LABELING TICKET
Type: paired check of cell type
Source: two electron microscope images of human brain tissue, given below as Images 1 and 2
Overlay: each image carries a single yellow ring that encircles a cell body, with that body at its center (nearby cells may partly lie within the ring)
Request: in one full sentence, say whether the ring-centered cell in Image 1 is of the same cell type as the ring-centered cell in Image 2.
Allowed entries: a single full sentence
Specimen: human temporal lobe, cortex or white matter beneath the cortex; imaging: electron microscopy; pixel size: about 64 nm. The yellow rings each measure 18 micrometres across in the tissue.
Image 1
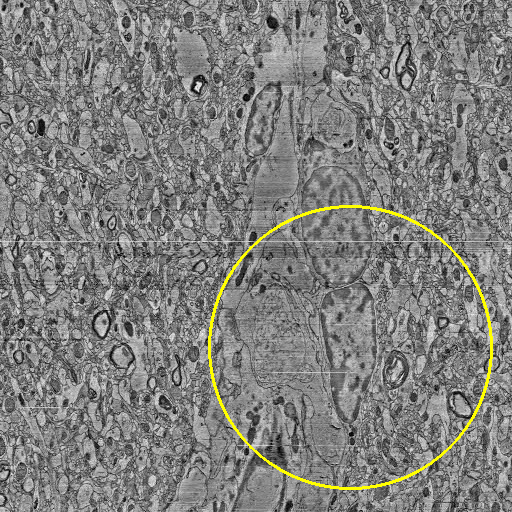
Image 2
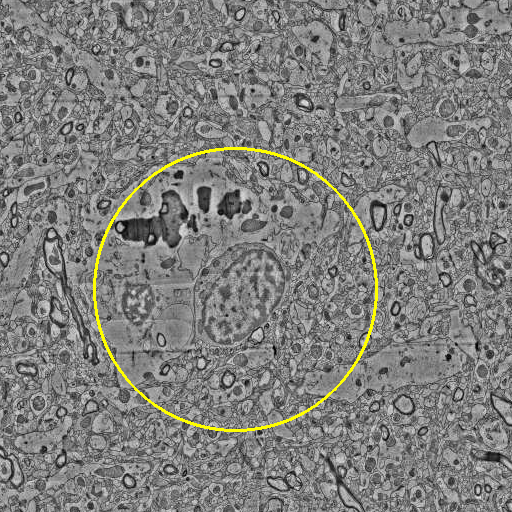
No, the cells centered in the rings of Image 1 and Image 2 are of two types.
